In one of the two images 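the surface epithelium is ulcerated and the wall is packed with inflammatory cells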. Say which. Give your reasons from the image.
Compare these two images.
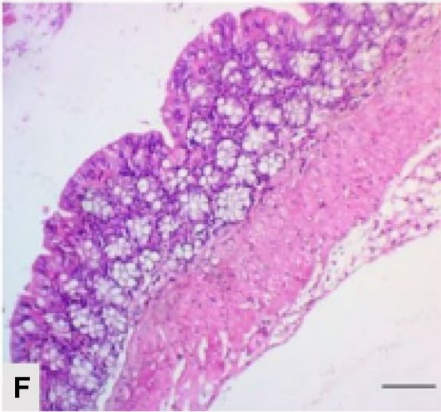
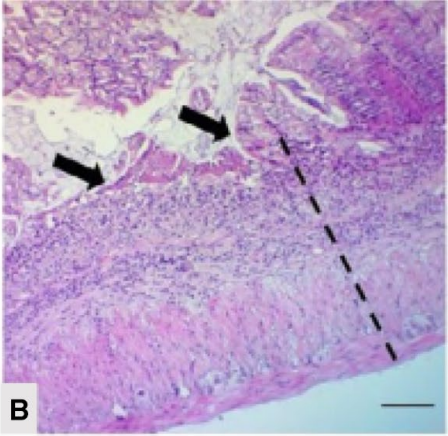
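Second image: broken surface with lost crypts and a thick band of dark purple nuclei spreading through the wall. The answer: the second image.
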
